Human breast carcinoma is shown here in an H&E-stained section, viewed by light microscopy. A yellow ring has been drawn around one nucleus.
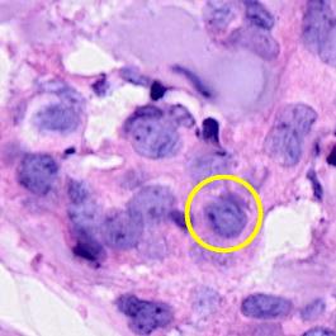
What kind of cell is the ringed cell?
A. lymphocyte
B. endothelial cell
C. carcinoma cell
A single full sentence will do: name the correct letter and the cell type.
In keeping with option C, the ringed cell is a carcinoma cell.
